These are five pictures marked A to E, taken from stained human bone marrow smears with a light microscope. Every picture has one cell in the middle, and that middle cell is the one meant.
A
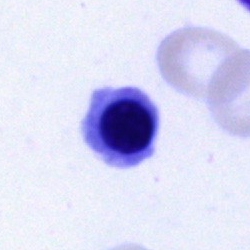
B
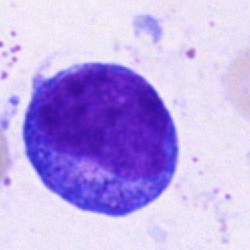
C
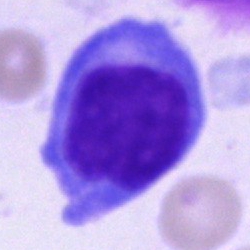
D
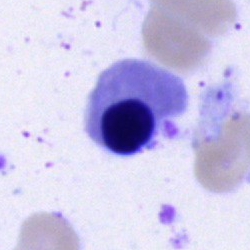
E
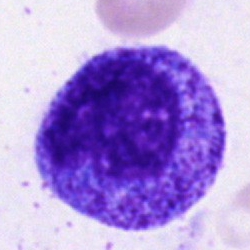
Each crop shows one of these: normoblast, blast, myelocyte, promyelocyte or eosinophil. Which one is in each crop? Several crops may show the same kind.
A: normoblast
B: promyelocyte
C: blast
D: normoblast
E: promyelocyte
